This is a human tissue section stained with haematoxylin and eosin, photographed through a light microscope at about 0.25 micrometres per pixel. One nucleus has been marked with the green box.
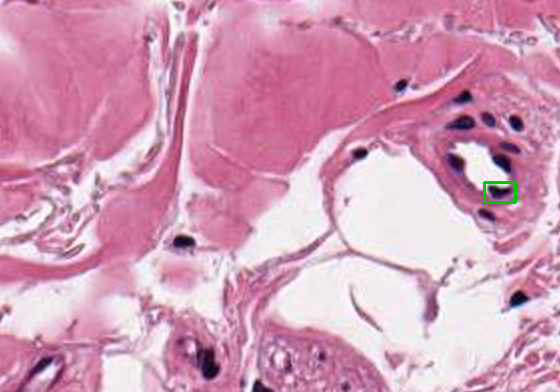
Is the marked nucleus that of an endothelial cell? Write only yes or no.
yes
